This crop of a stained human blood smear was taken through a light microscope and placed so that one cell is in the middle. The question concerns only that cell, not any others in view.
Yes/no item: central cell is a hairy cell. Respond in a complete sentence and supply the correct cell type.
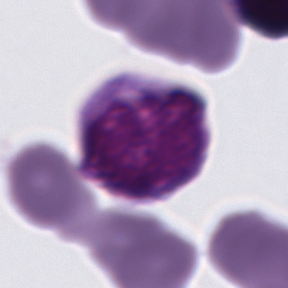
No, the middle cell is actually a myeloblast rather than a hairy cell.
